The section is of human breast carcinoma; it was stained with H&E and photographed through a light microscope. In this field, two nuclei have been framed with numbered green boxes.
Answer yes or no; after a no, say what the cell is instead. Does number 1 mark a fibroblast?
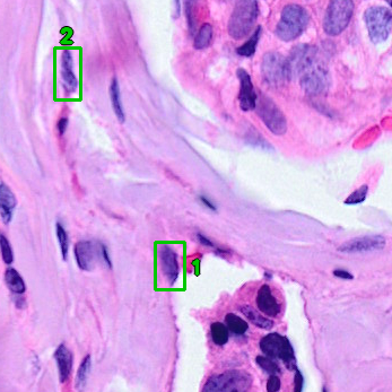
No, it is an endothelial cell.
